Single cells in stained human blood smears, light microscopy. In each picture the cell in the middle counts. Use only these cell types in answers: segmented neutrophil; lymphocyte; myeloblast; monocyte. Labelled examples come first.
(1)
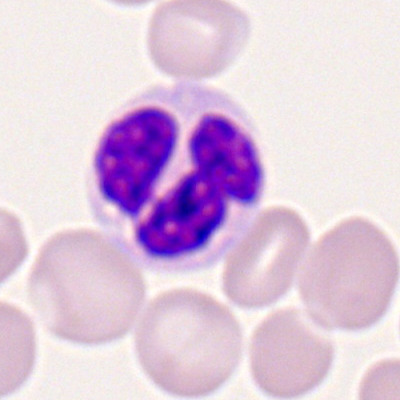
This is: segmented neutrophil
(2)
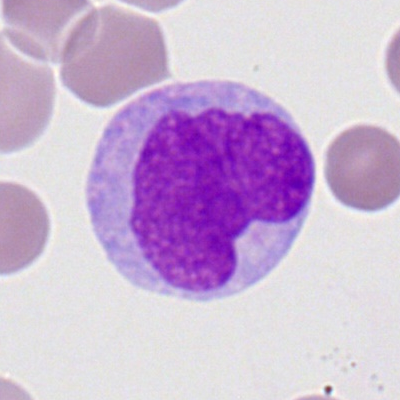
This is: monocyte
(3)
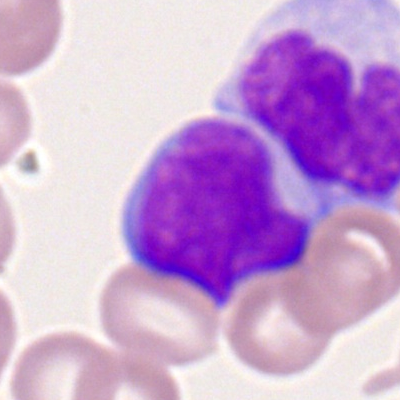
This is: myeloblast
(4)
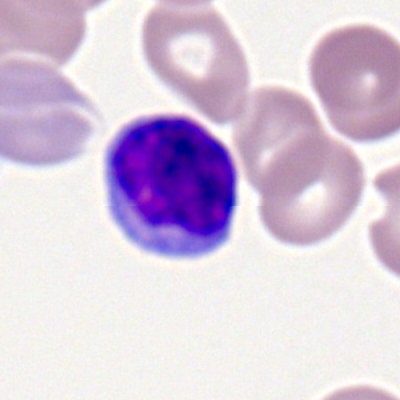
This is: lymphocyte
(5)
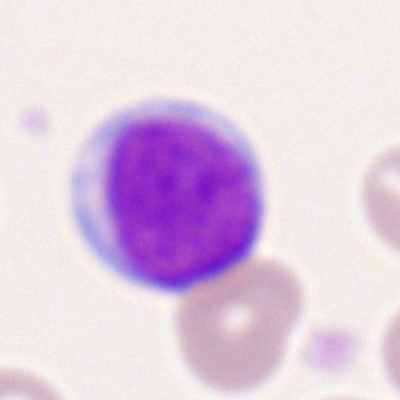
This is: lymphocyte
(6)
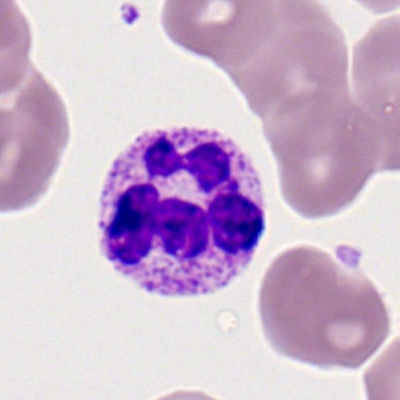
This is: segmented neutrophil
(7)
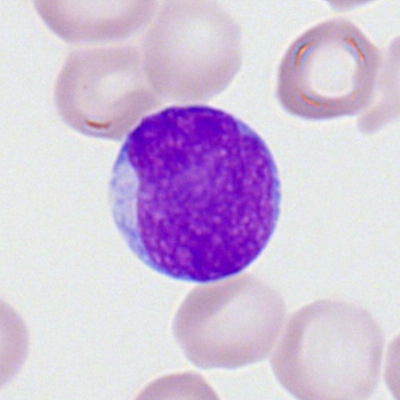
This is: myeloblast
